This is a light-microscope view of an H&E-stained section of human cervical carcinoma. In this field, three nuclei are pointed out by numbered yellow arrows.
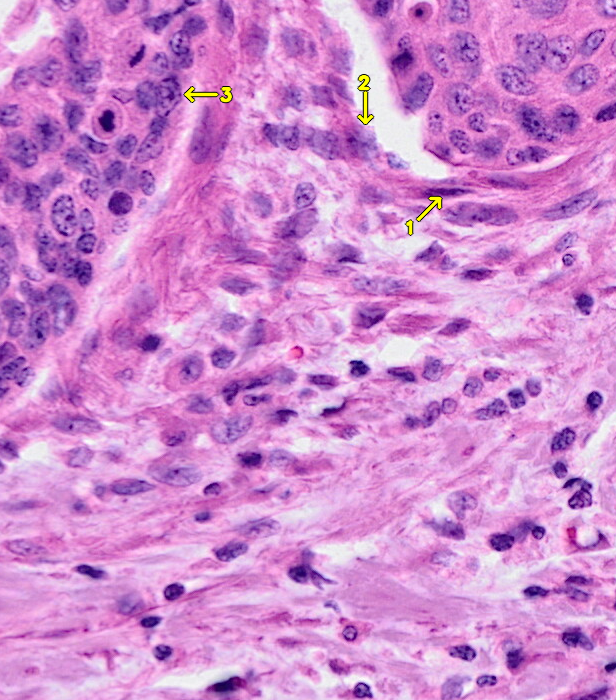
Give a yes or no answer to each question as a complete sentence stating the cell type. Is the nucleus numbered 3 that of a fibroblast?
No, number 3 belongs to a squamous carcinoma cell, not to a fibroblast.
